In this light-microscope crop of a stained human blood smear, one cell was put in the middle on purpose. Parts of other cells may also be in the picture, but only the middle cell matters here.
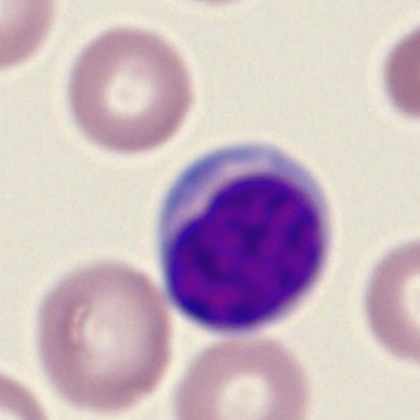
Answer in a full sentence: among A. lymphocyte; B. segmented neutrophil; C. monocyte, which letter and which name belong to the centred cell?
Well, the cell in the middle is a lymphocyte, making option A right.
